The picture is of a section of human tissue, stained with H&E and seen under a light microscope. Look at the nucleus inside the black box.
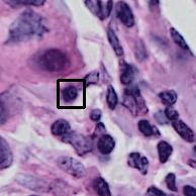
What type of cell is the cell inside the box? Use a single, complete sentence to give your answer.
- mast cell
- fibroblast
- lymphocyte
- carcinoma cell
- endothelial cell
The expected answer is simply that the cell inside the box is a lymphocyte.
